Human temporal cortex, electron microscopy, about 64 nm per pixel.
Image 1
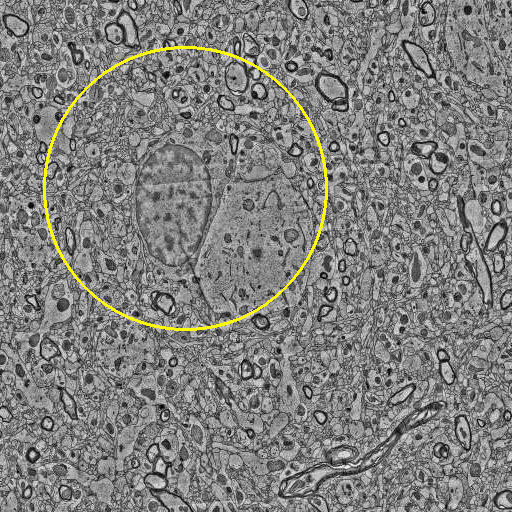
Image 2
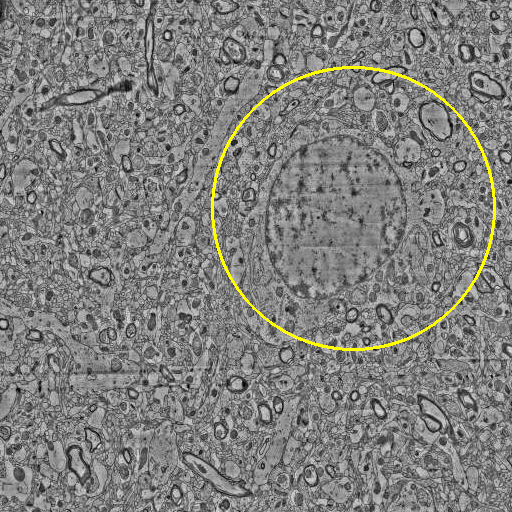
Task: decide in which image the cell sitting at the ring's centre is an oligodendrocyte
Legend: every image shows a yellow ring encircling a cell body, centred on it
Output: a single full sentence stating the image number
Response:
In image 1, the cell at the middle of the ring is the match.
